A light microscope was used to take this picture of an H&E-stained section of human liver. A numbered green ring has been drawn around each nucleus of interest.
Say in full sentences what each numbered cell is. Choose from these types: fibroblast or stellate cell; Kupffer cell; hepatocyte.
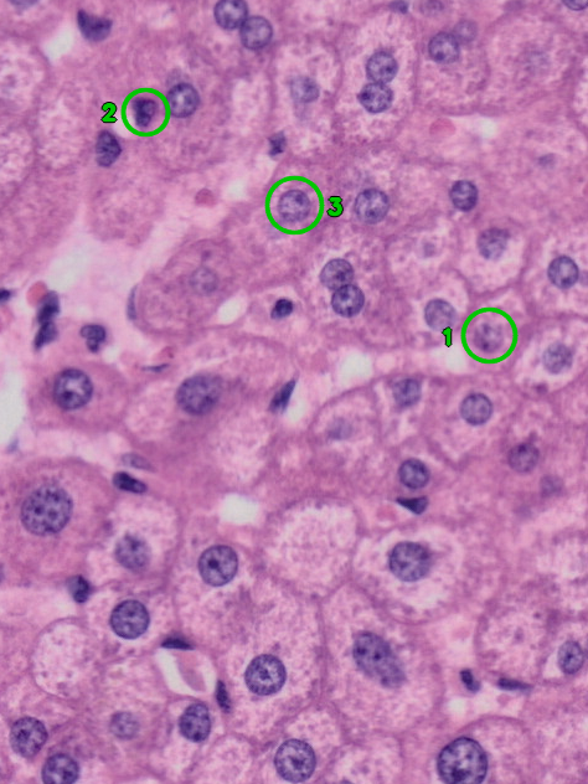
Cells 1 and 3 are hepatocytes. Cell 2 is a fibroblast or stellate cell.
